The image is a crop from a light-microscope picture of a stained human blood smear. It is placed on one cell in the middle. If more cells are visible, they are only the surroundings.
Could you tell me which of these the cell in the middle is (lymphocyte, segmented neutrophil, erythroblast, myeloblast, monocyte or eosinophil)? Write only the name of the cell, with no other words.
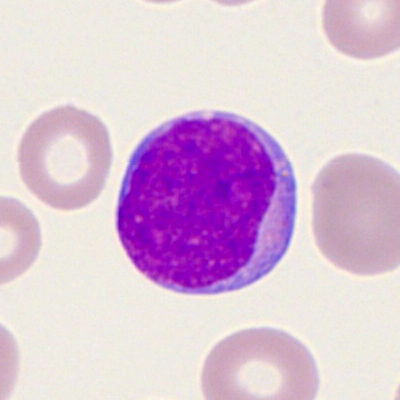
myeloblast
